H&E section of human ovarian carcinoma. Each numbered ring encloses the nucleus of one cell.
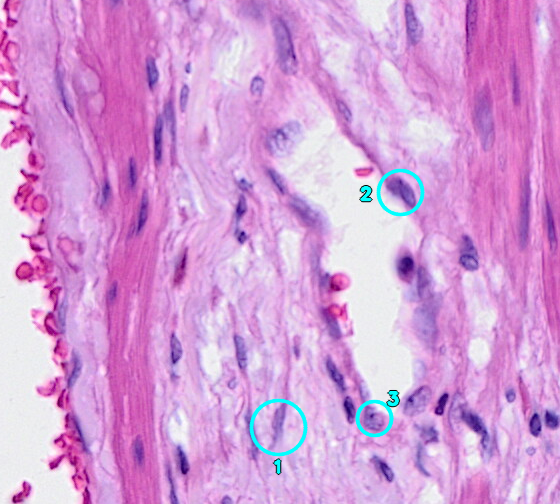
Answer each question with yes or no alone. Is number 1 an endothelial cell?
no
